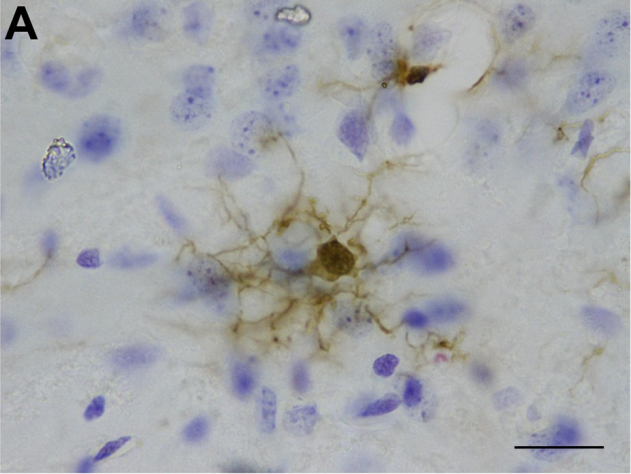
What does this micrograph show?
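In the center lies a microglial cell stained brown. Its cell body is small, compact and somewhat angular, and from it many thin, wavy processes branch again and again, spreading out in every direction to form a bushy, star-like territory. Around it the tissue is pale, dotted with blue-stained nuclei of other cells; many of these nuclei are larger and rounder than the brown cell body, while some are small and elongated. Near the top another brown cell body with processes sits beside a clear, round, empty-looking space.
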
